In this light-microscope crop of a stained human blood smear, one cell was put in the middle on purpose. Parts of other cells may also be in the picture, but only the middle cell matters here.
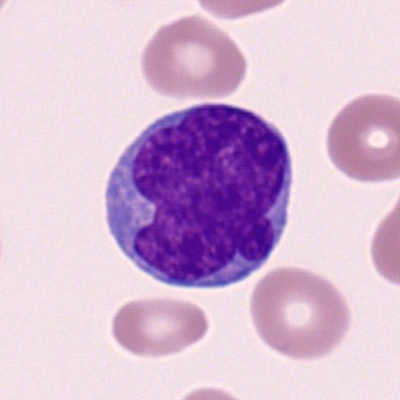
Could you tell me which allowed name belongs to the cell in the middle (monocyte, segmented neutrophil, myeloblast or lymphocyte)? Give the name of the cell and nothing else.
myeloblast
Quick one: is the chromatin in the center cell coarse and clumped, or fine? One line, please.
Take a look at the chromatin, which is coarsely clumped.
